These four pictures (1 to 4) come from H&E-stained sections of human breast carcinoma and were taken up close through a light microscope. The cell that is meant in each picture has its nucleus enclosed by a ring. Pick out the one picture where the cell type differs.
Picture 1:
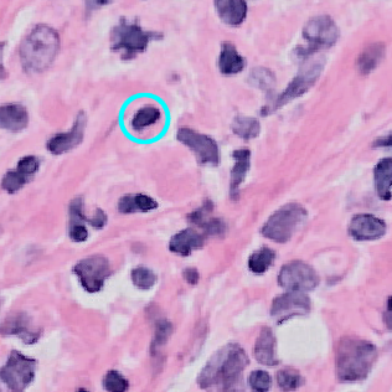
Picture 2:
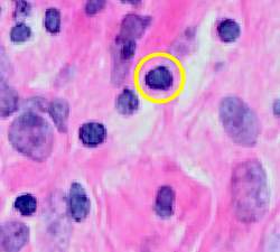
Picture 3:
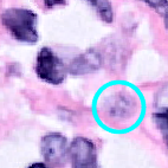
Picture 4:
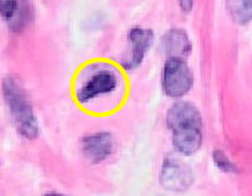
3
